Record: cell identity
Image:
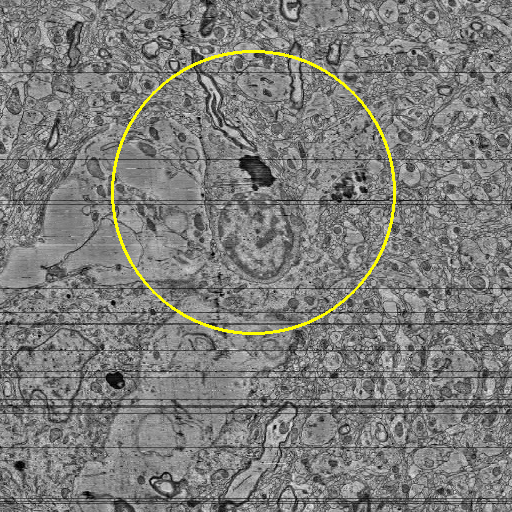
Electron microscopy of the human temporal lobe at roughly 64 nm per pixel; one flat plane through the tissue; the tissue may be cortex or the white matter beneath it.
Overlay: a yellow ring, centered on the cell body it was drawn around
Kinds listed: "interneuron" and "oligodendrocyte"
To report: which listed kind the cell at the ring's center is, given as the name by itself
oligodendrocyte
